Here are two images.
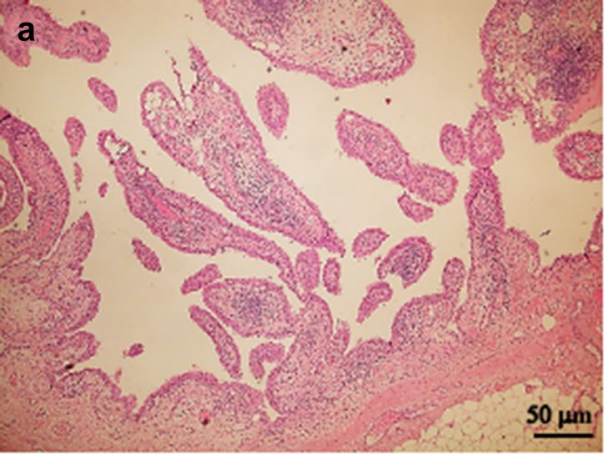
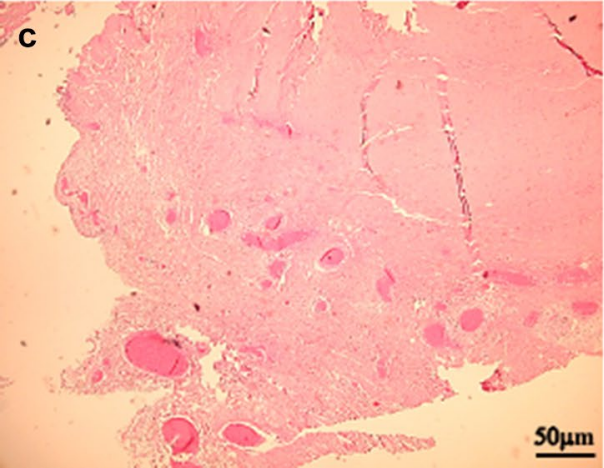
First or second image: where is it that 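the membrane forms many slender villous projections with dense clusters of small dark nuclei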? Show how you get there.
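The first image. Second image: a compact pale pink fibrous tissue with scattered vessels and no branching projections. First image: numerous finger-like projections containing dark purple cell clusters.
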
